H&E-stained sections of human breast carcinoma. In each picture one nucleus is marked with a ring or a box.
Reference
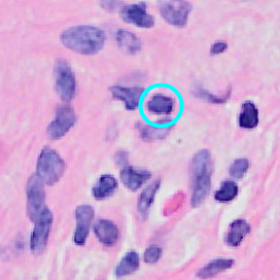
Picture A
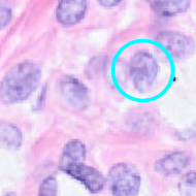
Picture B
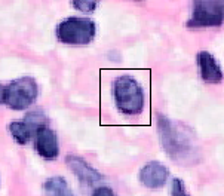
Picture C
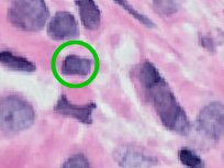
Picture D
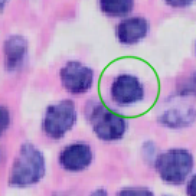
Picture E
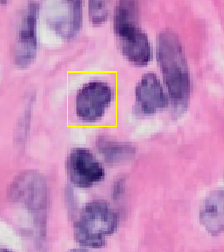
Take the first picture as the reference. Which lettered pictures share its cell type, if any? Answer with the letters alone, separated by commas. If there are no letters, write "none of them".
B, C, D, E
